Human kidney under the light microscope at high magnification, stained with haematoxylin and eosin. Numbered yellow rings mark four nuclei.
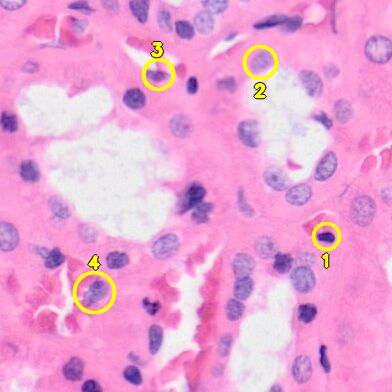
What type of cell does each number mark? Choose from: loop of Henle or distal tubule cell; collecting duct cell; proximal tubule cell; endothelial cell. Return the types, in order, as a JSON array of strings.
["endothelial cell", "loop of Henle or distal tubule cell", "endothelial cell", "endothelial cell"]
